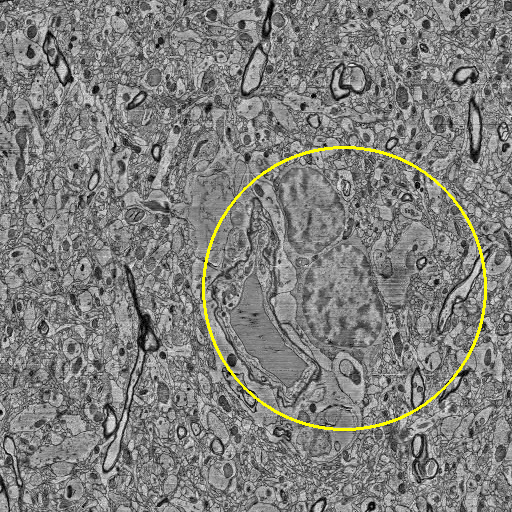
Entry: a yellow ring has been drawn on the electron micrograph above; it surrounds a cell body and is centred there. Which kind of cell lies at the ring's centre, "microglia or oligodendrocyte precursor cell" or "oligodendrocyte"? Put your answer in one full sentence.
The cell sitting at the ring's centre is an oligodendrocyte in the micrograph above.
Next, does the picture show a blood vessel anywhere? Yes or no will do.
Yes, a vessel appears in the picture.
